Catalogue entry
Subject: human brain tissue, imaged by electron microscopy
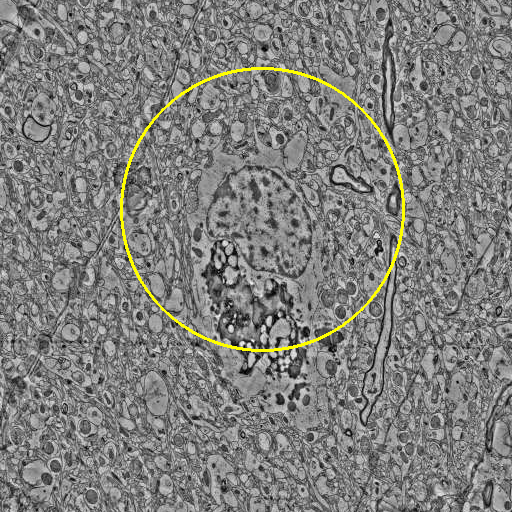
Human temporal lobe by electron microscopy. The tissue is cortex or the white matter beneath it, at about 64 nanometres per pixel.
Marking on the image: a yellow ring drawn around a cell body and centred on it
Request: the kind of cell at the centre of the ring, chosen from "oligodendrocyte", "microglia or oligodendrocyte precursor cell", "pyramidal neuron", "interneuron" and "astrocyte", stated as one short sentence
The ring has an astrocyte at its centre.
